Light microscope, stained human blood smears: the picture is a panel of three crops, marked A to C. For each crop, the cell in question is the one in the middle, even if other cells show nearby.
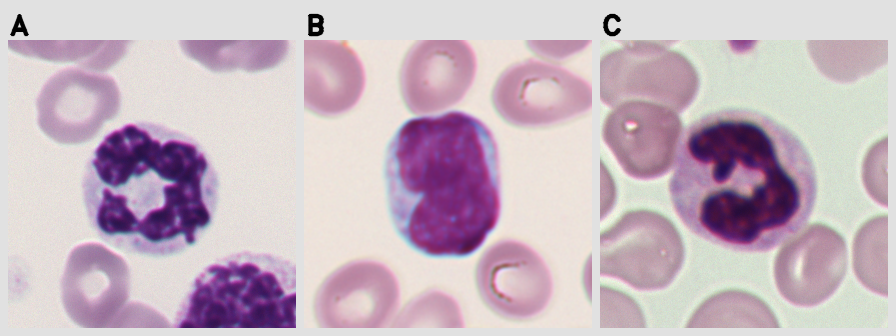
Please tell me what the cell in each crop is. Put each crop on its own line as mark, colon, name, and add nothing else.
A: segmented neutrophil
B: typical lymphocyte
C: segmented neutrophil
